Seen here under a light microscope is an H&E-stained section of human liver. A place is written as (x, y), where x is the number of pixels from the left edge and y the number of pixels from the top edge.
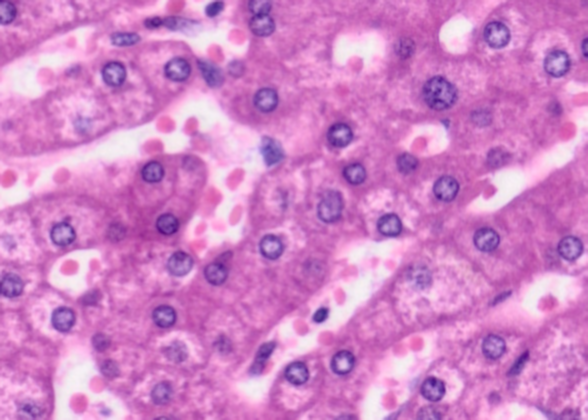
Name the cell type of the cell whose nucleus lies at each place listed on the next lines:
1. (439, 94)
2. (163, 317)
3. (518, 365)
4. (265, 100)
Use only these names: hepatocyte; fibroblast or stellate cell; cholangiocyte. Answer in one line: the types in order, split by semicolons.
hepatocyte; hepatocyte; fibroblast or stellate cell; hepatocyte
